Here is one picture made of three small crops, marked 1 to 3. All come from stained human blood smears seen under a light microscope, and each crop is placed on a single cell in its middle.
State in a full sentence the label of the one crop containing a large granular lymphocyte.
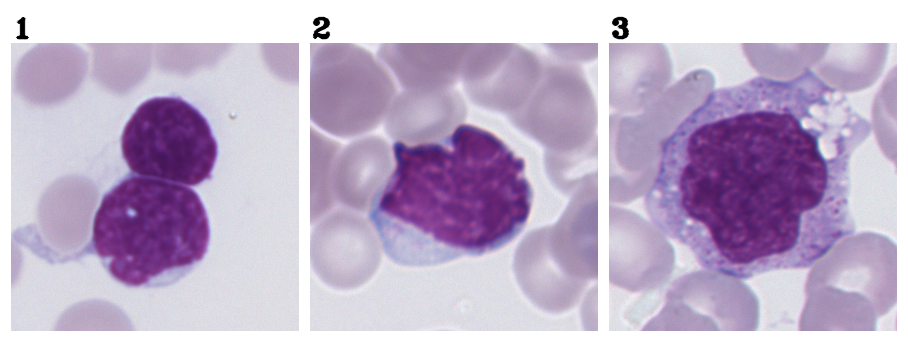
Crop 2 is the crop whose central cell is a large granular lymphocyte.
